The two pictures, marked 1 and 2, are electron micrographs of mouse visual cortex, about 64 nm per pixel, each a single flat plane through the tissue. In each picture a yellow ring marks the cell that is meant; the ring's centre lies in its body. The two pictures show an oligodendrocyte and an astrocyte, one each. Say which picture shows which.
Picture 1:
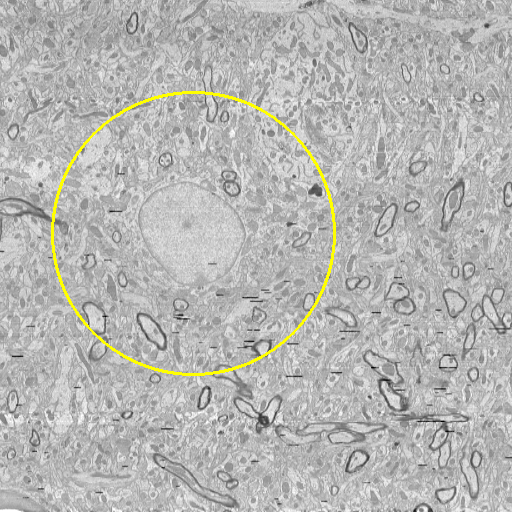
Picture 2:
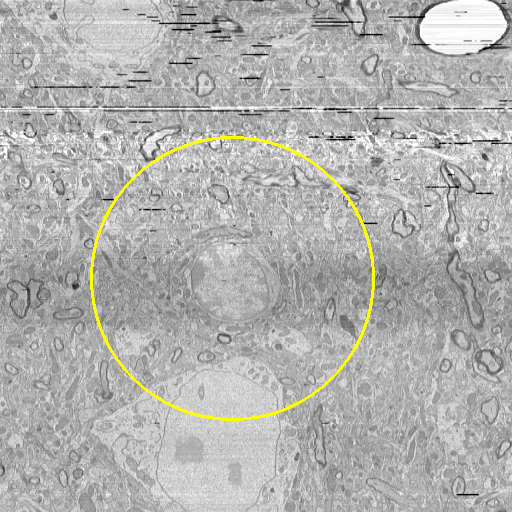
Picture 2 shows an oligodendrocyte, while picture 1 shows an astrocyte.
